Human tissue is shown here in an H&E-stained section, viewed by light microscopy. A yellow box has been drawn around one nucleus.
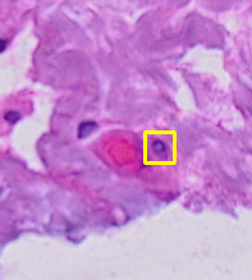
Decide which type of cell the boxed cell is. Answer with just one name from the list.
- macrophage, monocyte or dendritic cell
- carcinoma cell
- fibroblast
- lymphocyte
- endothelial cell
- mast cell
endothelial cell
